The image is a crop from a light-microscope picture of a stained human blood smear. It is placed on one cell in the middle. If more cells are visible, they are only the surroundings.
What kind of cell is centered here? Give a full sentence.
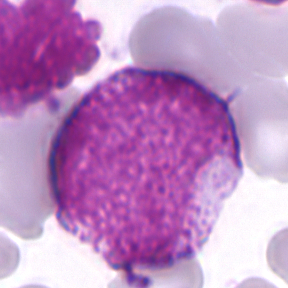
The cell at the middle of the crop is recognized as a promyelocyte.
